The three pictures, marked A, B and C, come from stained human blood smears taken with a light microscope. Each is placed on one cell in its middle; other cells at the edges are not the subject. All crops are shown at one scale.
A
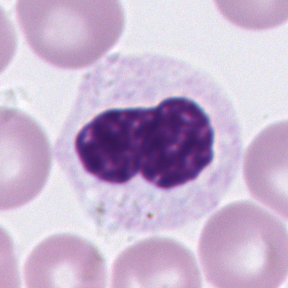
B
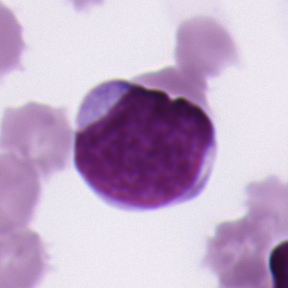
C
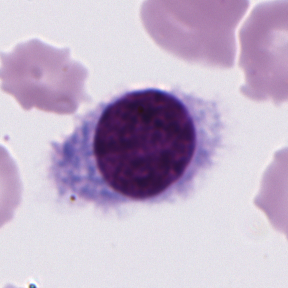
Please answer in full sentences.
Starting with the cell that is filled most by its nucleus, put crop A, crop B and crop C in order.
From the most filled to the least, the order is B, C, A.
